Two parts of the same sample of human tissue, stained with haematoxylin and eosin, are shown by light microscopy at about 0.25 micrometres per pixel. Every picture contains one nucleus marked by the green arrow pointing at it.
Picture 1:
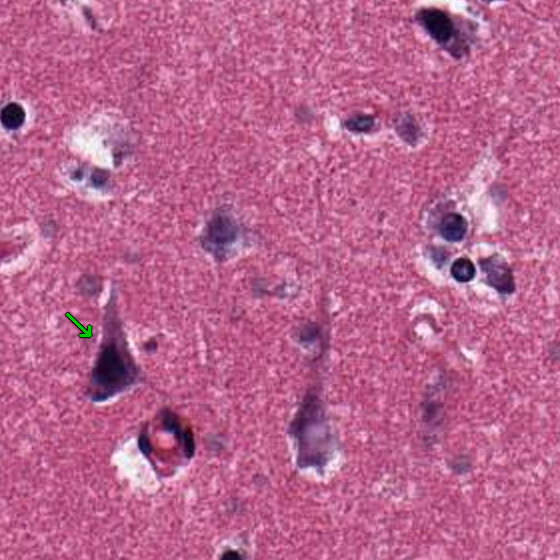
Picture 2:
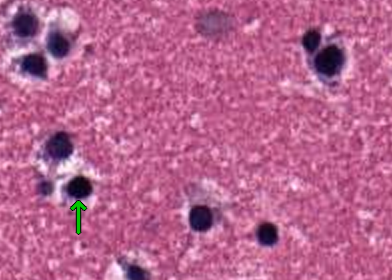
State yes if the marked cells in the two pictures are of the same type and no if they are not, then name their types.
No, the first is a neuron and the second an oligodendrocyte.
